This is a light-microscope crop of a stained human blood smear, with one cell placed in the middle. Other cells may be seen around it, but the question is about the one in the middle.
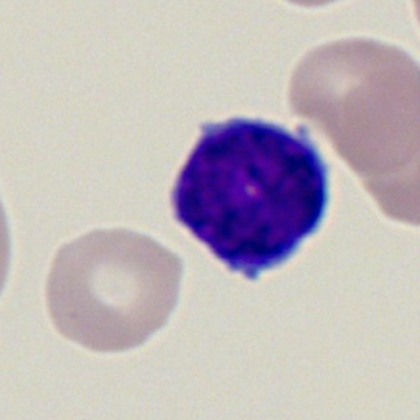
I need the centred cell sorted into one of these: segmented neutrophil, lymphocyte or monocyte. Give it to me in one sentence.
The cell at the central position in this crop is a lymphocyte.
